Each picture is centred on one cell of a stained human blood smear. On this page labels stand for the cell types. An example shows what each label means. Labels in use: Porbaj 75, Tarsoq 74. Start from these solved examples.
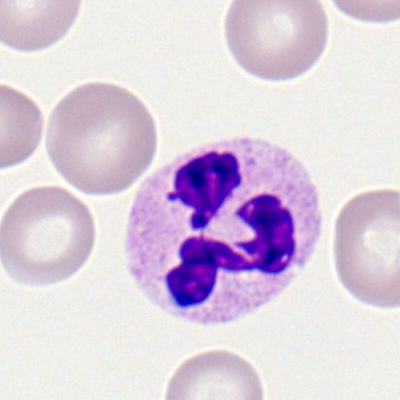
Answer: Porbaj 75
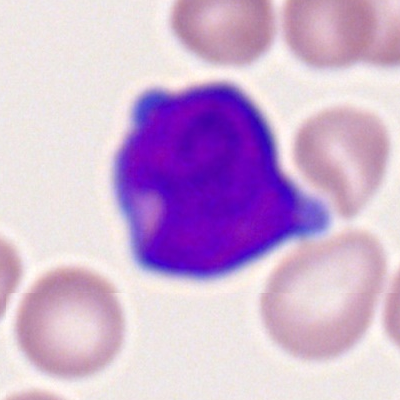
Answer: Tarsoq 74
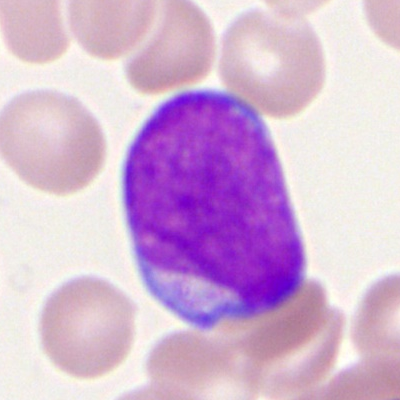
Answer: Tarsoq 74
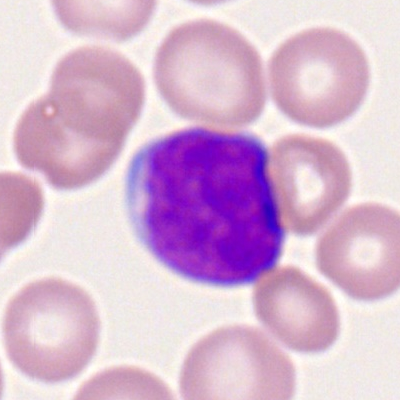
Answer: Tarsoq 74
